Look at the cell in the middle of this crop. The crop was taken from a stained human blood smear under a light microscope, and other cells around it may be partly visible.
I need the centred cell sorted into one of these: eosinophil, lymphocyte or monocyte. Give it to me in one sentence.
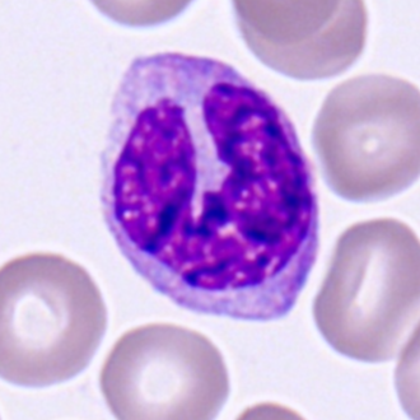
The crop's centre is taken up by a monocyte.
